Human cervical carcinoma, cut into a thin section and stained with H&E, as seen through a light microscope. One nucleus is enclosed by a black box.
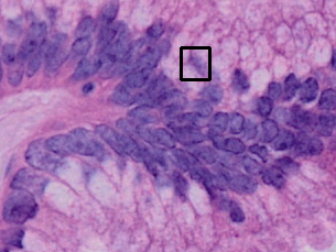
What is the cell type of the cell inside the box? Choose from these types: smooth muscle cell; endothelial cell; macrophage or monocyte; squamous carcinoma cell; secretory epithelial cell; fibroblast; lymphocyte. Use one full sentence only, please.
What the cell inside the box represents is a secretory epithelial cell.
